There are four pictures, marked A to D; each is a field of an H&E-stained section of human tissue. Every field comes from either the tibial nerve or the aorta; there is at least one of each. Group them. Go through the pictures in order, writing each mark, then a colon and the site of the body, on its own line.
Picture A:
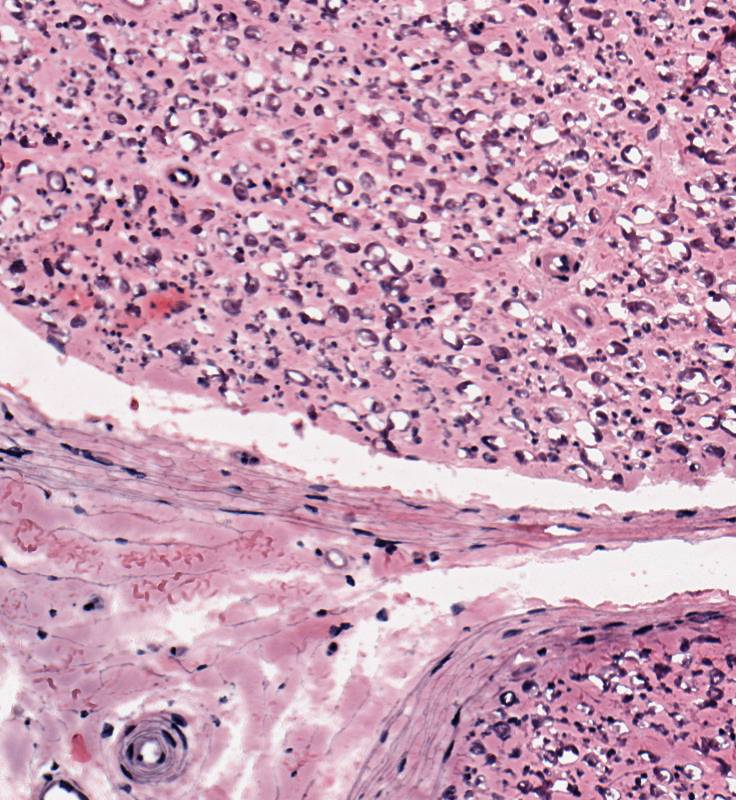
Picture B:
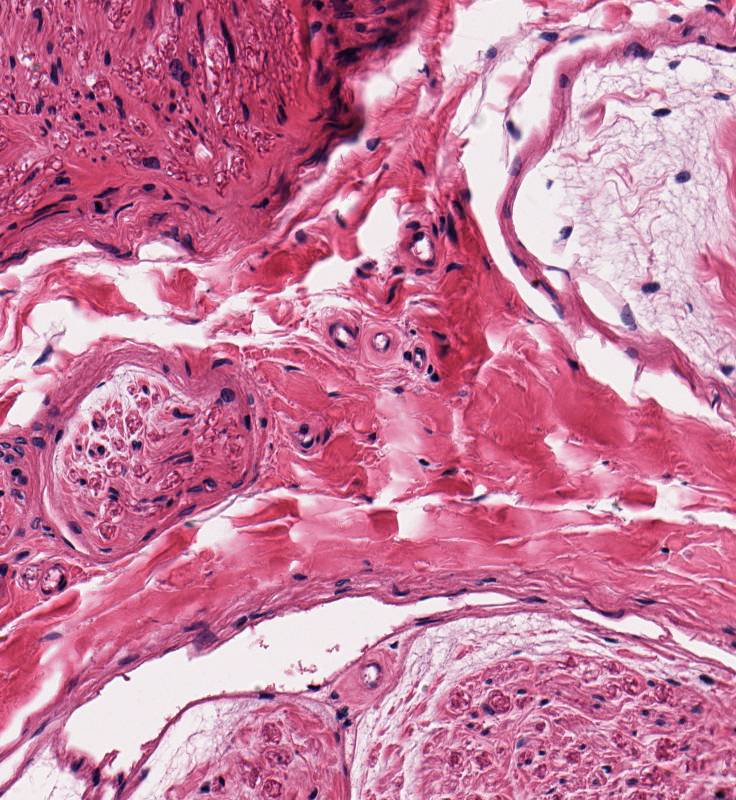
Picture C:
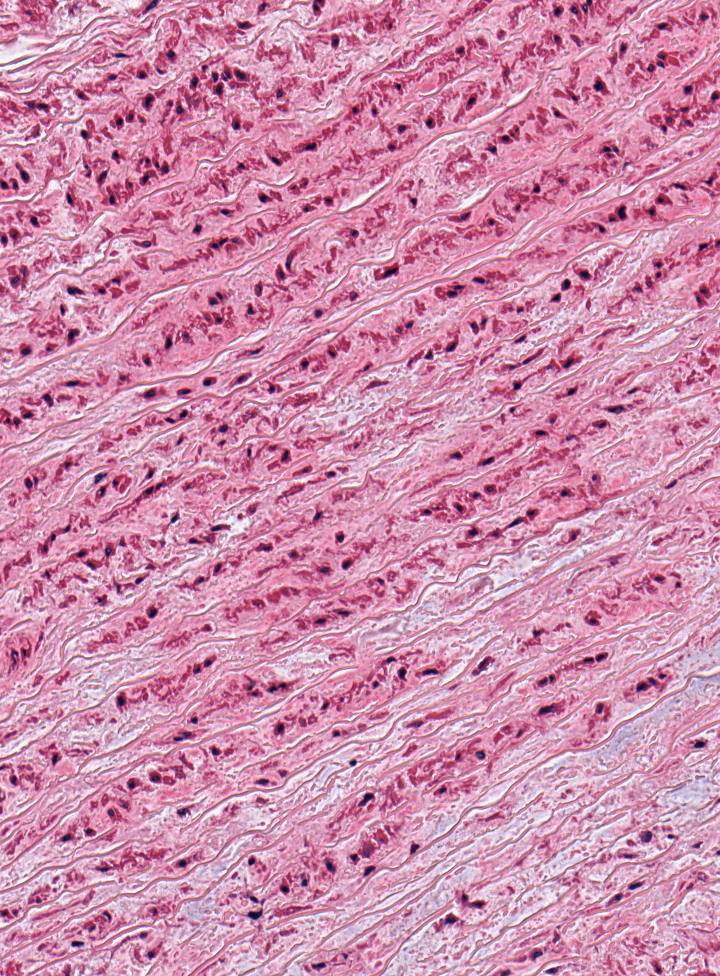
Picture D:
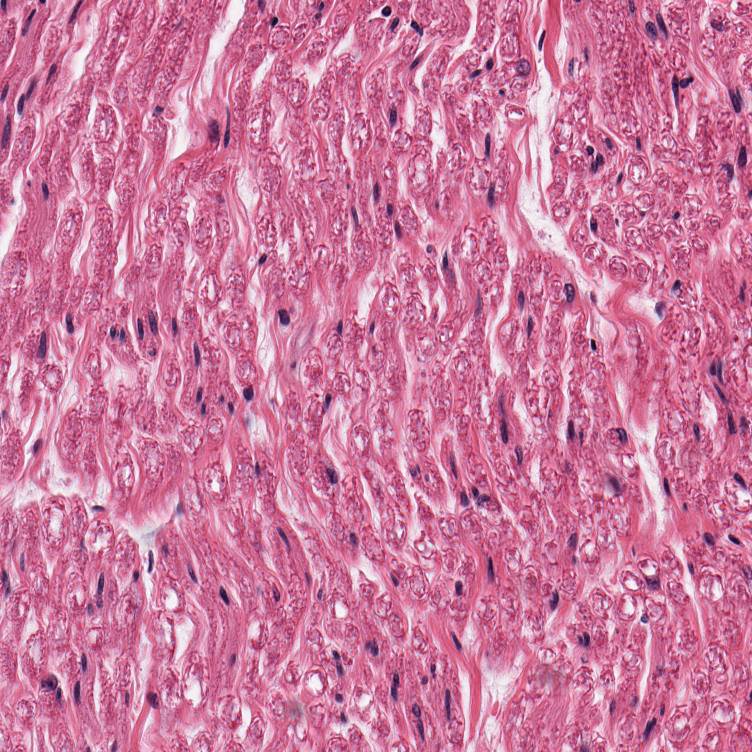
A: tibial nerve
B: tibial nerve
C: aorta
D: tibial nerve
